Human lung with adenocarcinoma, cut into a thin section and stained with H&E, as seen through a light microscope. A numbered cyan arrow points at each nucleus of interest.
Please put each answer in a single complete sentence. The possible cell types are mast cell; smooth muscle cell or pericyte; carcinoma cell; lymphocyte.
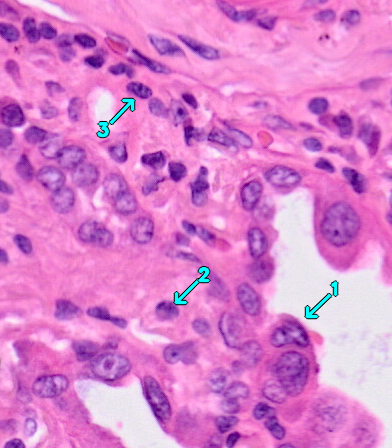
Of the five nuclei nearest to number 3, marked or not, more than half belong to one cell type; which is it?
Around number 3, most of the five nearest nuclei are those of lymphocytes.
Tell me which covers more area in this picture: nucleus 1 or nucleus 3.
At about 4 times the area of nucleus 3, nucleus 1 is the larger of the two.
